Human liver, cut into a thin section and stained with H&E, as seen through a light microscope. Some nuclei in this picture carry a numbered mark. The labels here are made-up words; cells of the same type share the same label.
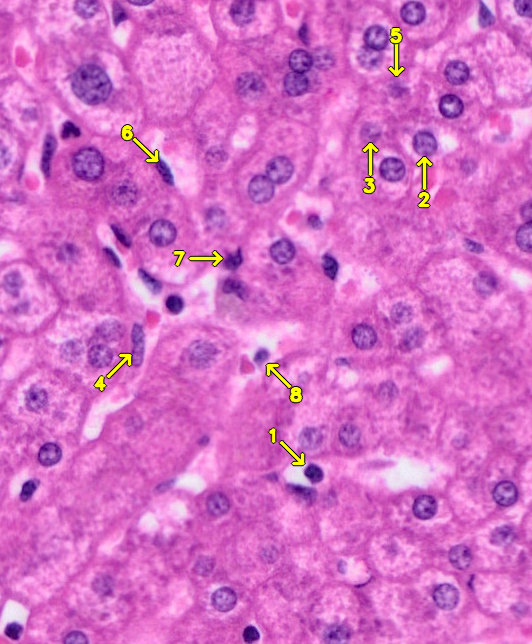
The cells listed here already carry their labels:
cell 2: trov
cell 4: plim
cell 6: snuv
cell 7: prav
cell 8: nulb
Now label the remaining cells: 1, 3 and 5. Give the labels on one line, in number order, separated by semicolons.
nulb; trov; trov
